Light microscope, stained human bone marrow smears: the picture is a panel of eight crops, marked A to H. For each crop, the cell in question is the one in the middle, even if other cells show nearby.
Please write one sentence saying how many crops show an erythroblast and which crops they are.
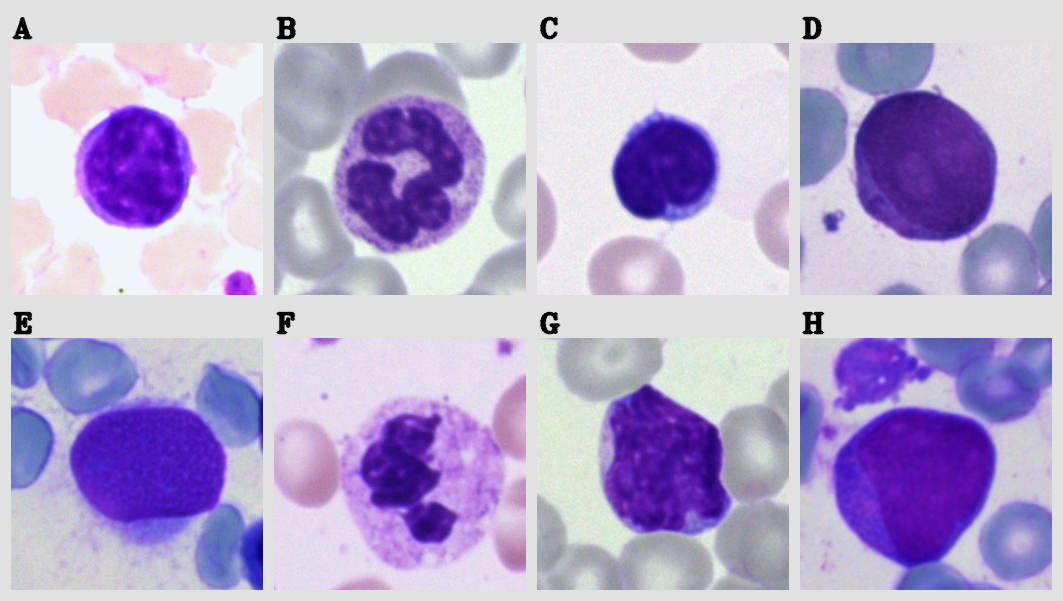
Since erythroblasts are absent from each crop, the count is zero.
